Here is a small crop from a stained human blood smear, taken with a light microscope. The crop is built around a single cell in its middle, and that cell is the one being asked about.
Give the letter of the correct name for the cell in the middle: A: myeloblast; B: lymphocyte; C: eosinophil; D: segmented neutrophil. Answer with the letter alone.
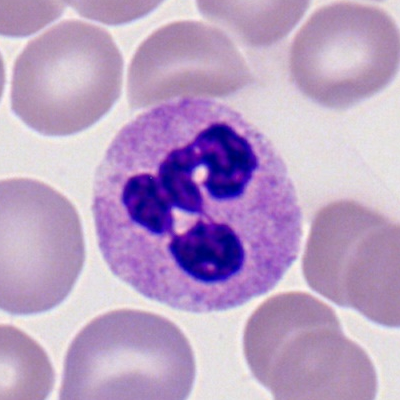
D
